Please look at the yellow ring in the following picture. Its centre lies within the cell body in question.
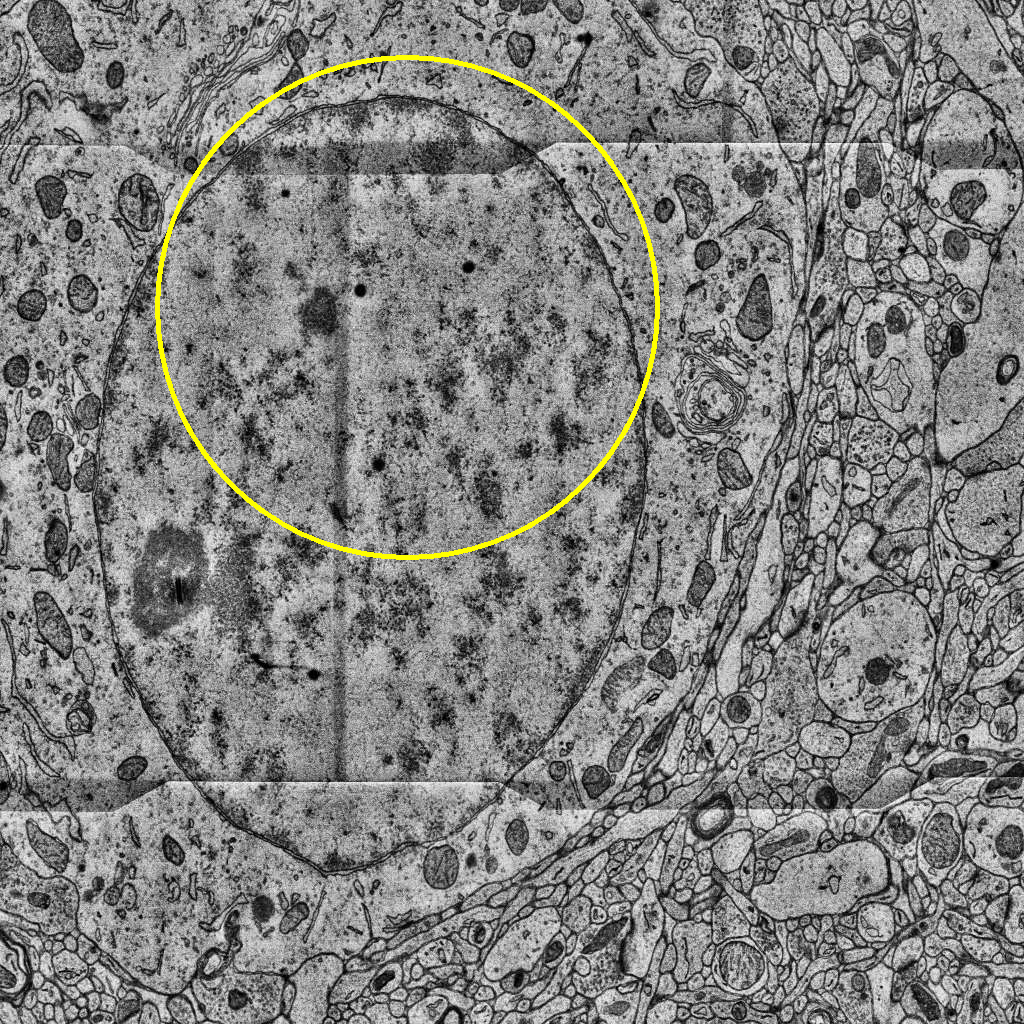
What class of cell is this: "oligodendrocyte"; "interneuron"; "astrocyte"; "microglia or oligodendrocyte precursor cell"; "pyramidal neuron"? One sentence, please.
The centre of the ring lies in the cell body of an interneuron.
